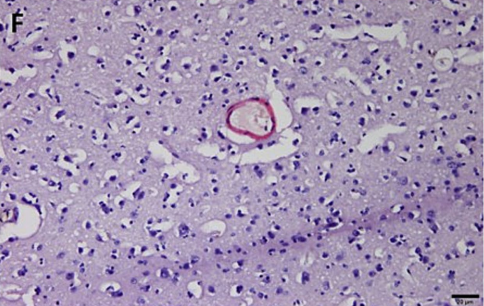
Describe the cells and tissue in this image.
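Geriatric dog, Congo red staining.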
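This is cerebral cortex with a small blood vessel cut across in its middle. The vessel wall is thickened and stained a strong red, standing out from the pale purple neuropil around it. A clear space rings the vessel, separating it from the surrounding tissue. Around it lie many small, dark, round to oval nuclei of cells scattered through the neuropil, several of them sitting in small clear halos. Other narrow clear channels and vessel profiles without red staining are seen elsewhere in the field.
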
